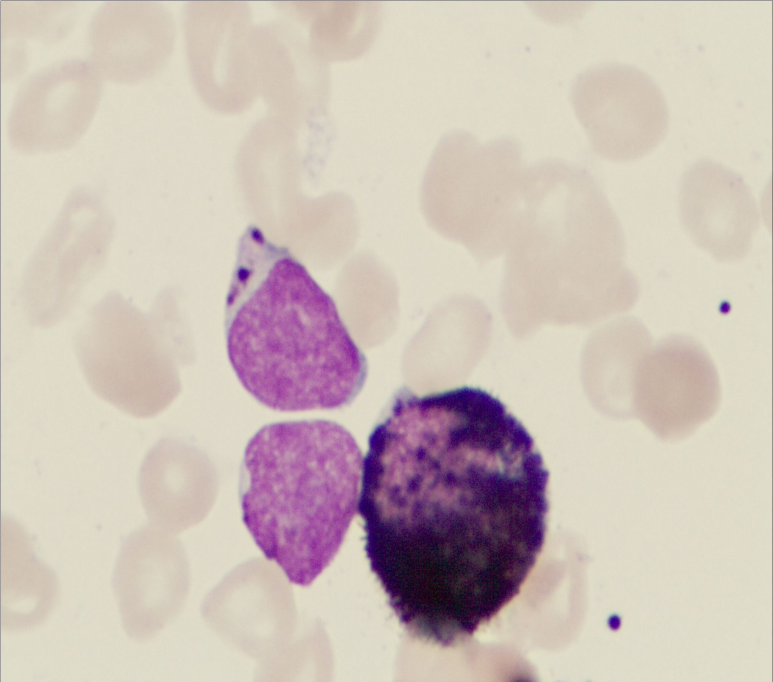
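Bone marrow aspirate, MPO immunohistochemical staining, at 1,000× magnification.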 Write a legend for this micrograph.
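Two cells on the left have pale violet nuclei with fine chromatin and only a thin margin of pale cytoplasm, with no dark deposits apart from a couple of small dots. Pale red blood cells fill the background.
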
